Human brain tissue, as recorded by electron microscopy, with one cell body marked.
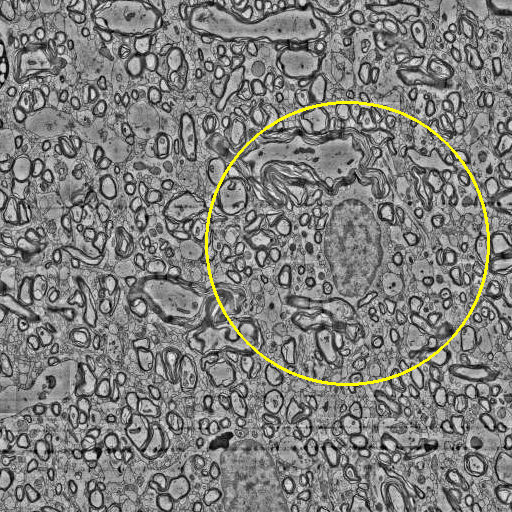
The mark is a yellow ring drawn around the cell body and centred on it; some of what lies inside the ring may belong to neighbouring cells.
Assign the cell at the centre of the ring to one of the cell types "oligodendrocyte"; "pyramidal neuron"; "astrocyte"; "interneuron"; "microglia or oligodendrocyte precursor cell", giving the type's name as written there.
oligodendrocyte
